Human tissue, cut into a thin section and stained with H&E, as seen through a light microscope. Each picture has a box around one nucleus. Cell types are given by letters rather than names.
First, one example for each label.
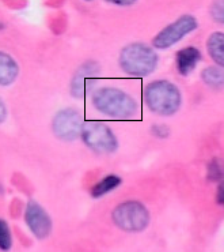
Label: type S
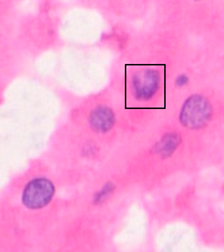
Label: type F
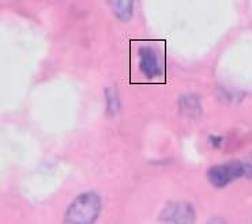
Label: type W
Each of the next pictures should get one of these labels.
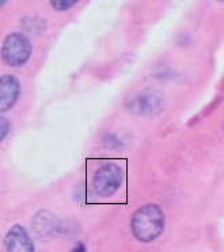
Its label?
type S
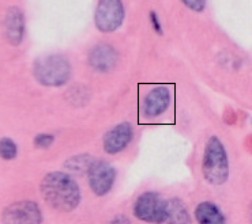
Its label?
type S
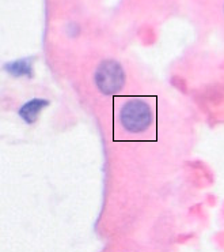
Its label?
type F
